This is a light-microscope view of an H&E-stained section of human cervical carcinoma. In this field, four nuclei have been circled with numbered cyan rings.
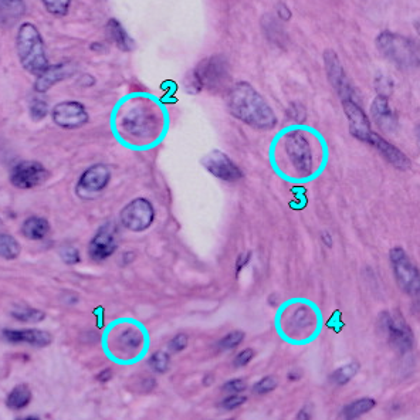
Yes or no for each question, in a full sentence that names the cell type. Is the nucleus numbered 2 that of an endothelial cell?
Yes, the cell at the mark numbered 2 is an endothelial cell.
